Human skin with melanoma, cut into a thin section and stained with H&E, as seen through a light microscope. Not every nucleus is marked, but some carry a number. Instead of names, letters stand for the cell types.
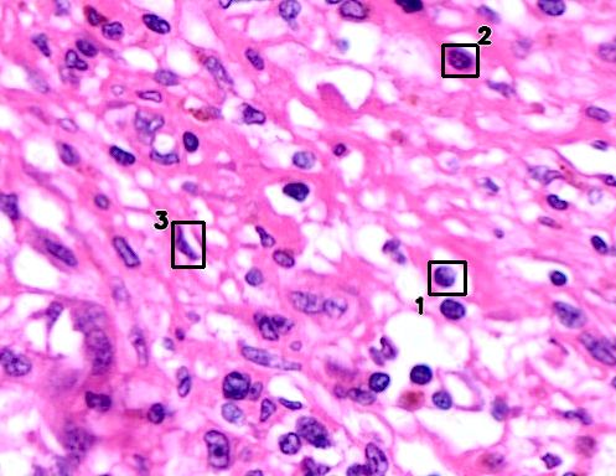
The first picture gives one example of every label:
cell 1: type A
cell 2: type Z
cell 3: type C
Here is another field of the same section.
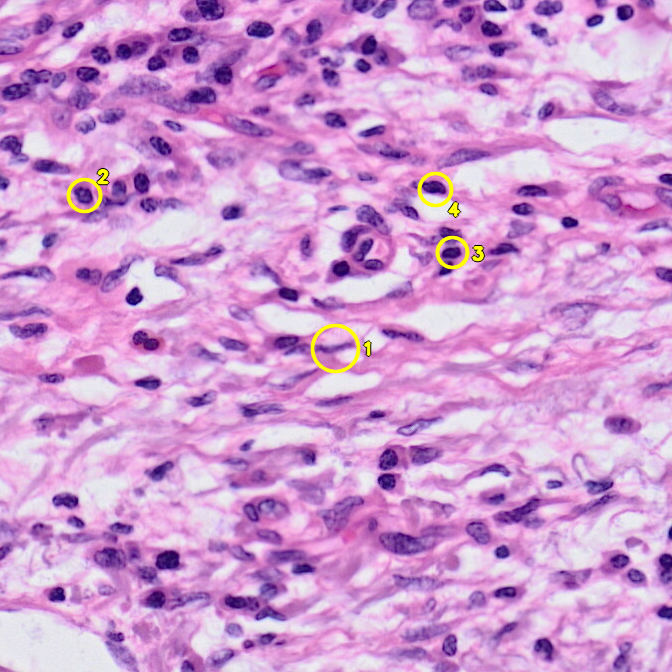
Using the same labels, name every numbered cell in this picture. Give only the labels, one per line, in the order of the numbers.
type C
type Z
type Z
type A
